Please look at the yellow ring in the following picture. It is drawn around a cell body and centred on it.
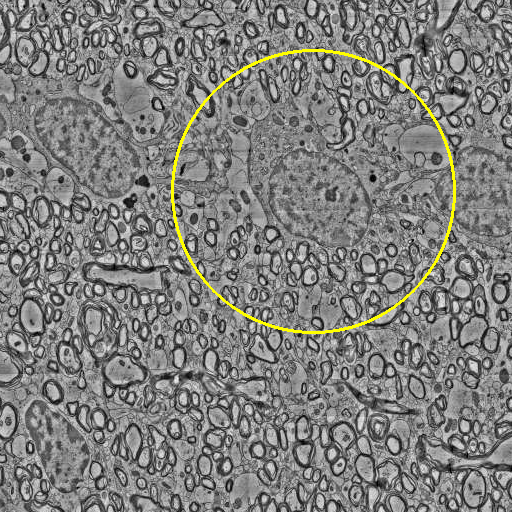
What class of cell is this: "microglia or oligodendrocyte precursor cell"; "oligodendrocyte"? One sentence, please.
The ring surrounds the cell body of an oligodendrocyte.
